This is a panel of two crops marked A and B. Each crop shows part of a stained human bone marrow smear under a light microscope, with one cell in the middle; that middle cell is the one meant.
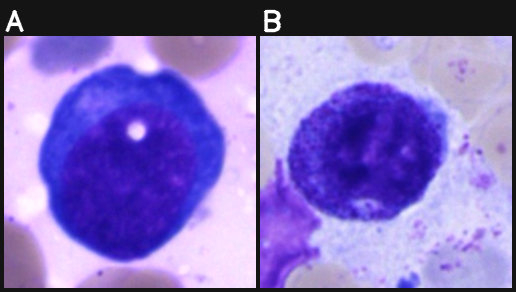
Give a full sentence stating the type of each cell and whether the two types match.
No, a proerythroblast lies at the centre of crop A, and a promyelocyte lies at the centre of crop B.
